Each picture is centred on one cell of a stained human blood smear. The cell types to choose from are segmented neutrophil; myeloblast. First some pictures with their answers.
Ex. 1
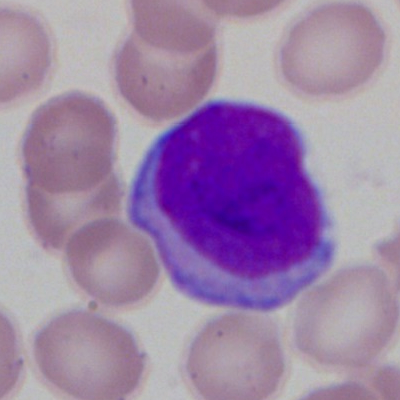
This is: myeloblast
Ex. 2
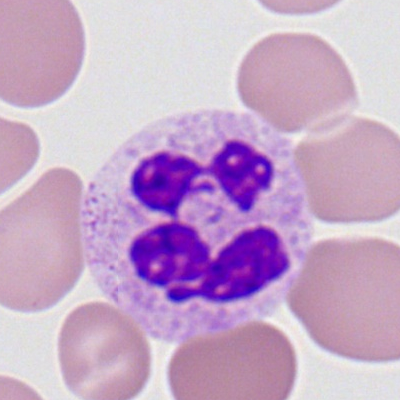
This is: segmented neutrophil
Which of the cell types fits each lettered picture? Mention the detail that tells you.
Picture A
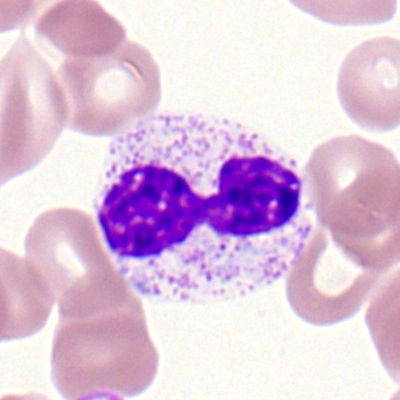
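Answer: segmented neutrophil. The cytoplasm is plentiful and very pale, almost colourless.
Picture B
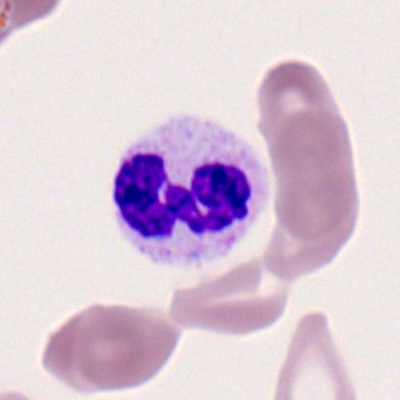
Answer: segmented neutrophil. The two nuclear lobes lie side by side, left and right.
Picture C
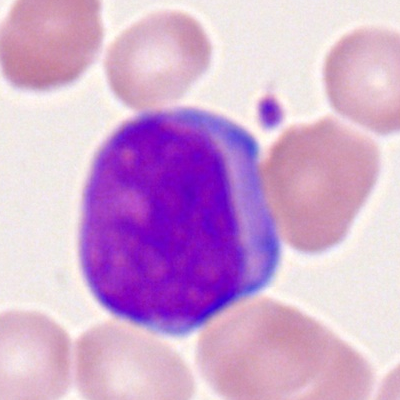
Answer: myeloblast. The cytoplasm is scant, forming a narrow crescent on the right side of the cell.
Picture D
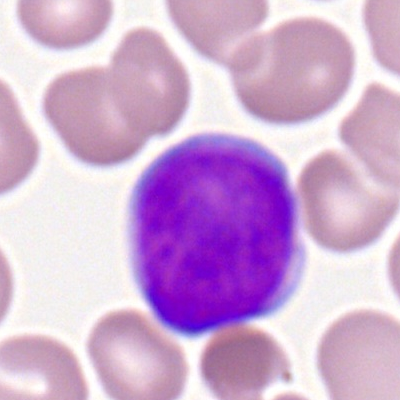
Answer: myeloblast. The nucleus fills almost the whole cell.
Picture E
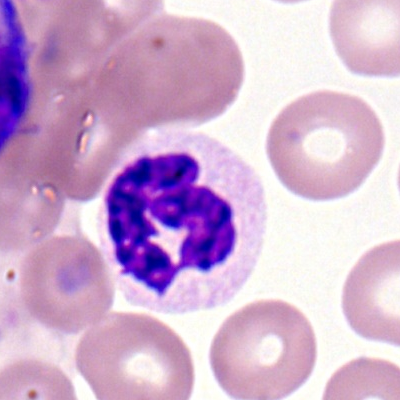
Answer: segmented neutrophil. The nucleus is a curved band that wraps around a pale central space.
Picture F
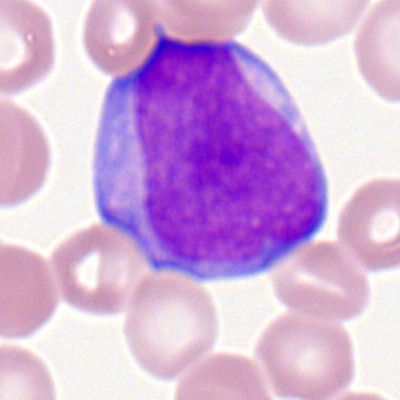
Answer: myeloblast. The nucleus is a single unlobed mass that fills most of the cell.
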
